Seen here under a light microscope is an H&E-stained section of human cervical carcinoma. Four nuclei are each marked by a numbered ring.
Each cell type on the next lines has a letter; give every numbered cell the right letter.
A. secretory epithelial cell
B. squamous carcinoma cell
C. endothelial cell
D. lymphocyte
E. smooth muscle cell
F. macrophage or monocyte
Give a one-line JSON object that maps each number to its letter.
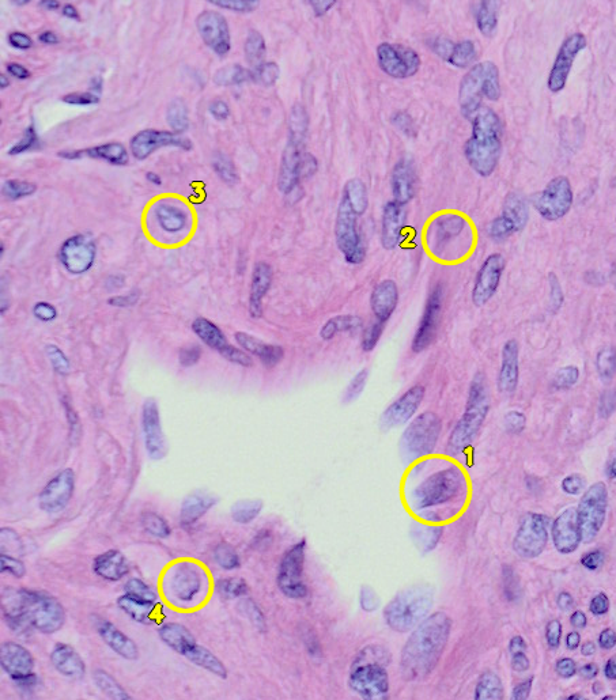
{"1": "C", "2": "E", "3": "E", "4": "E"}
